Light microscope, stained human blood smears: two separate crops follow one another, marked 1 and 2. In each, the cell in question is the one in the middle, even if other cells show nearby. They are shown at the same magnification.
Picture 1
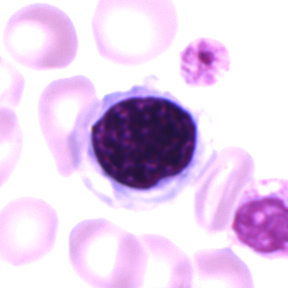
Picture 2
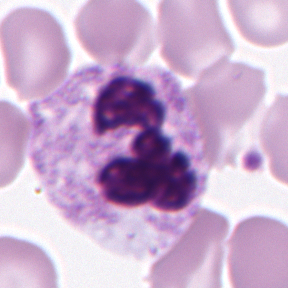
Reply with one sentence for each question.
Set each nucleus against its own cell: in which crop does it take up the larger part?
It is the cell in picture 1 that is filled more by its nucleus.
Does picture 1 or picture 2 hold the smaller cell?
Smaller is the cell in picture 1, and the other is about 2 times as large in area.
